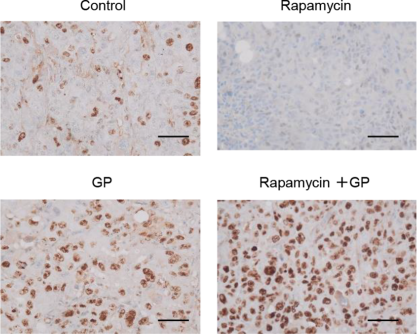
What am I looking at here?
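Some nuclei are stained a dark brown, while the rest are pale blue-grey from the counterstain. Notice how the share of brown nuclei differs between the fields: in one field almost no nucleus is brown and the cells look uniformly pale blue, while in another nearly every nucleus is dark brown and the cells are crowded densely together. In the remaining two fields brown and pale nuclei lie scattered side by side.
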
